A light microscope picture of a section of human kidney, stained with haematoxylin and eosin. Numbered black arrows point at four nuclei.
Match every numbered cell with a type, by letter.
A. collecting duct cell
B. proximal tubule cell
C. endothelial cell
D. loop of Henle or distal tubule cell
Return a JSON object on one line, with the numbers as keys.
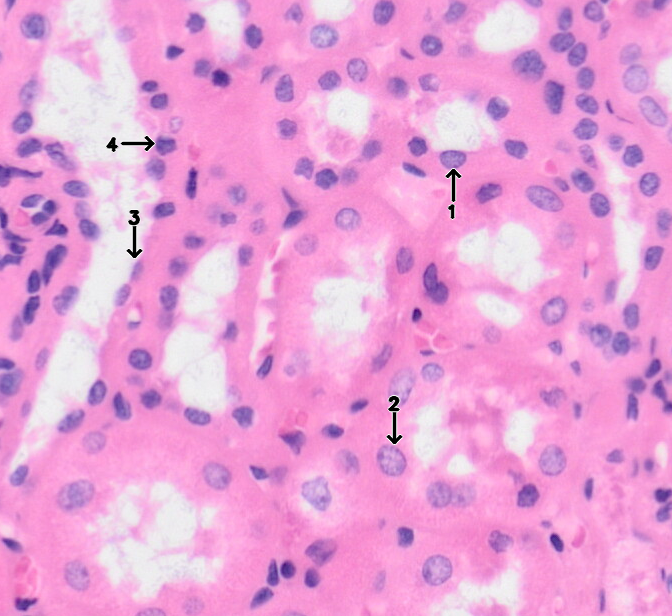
{"1": "D", "2": "B", "3": "D", "4": "D"}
